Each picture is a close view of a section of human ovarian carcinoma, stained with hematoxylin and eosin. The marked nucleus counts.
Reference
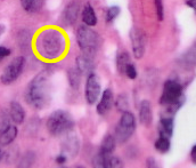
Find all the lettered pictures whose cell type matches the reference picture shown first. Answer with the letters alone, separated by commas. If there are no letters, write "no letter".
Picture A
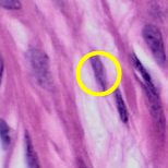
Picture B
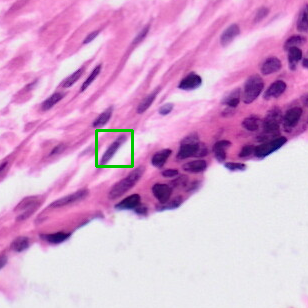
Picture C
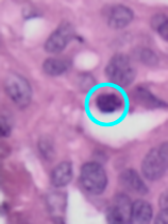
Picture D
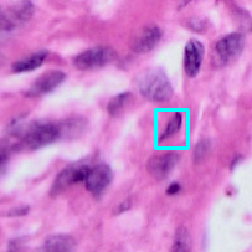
C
